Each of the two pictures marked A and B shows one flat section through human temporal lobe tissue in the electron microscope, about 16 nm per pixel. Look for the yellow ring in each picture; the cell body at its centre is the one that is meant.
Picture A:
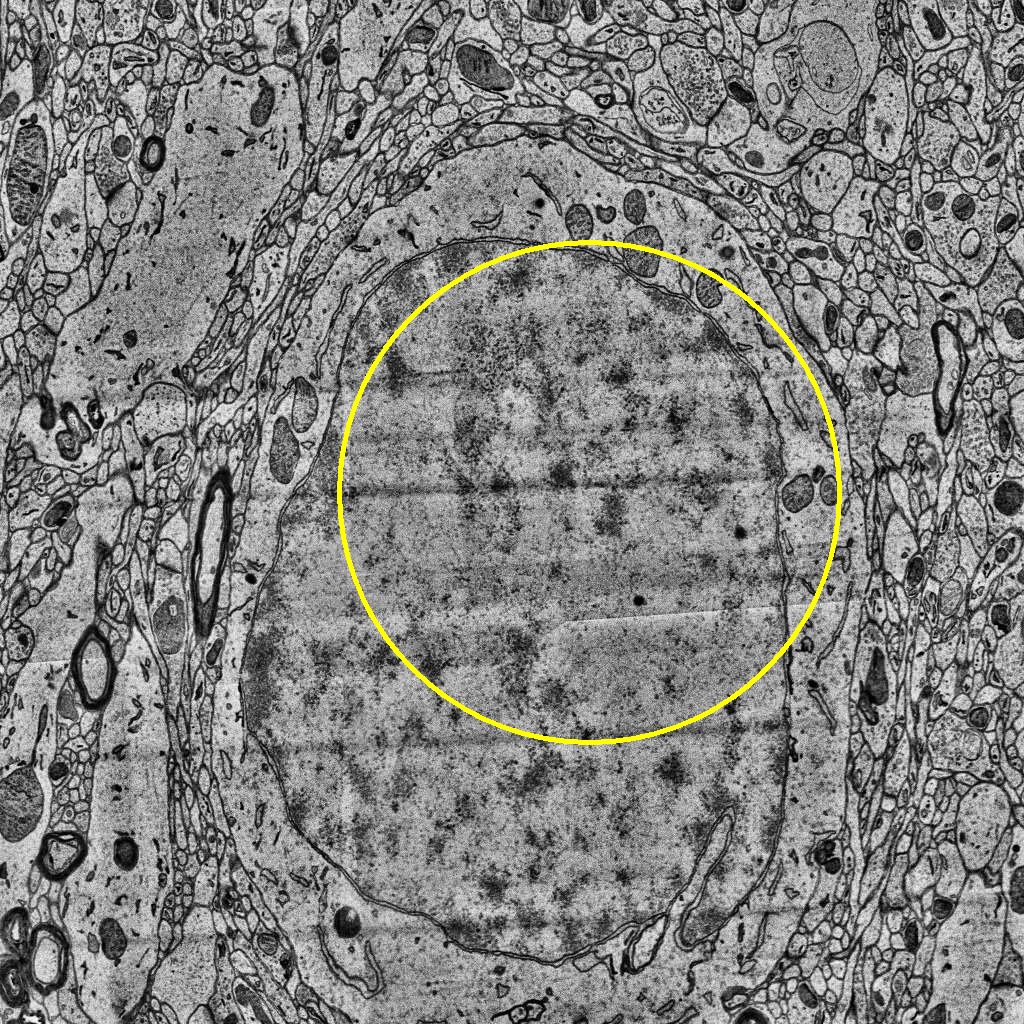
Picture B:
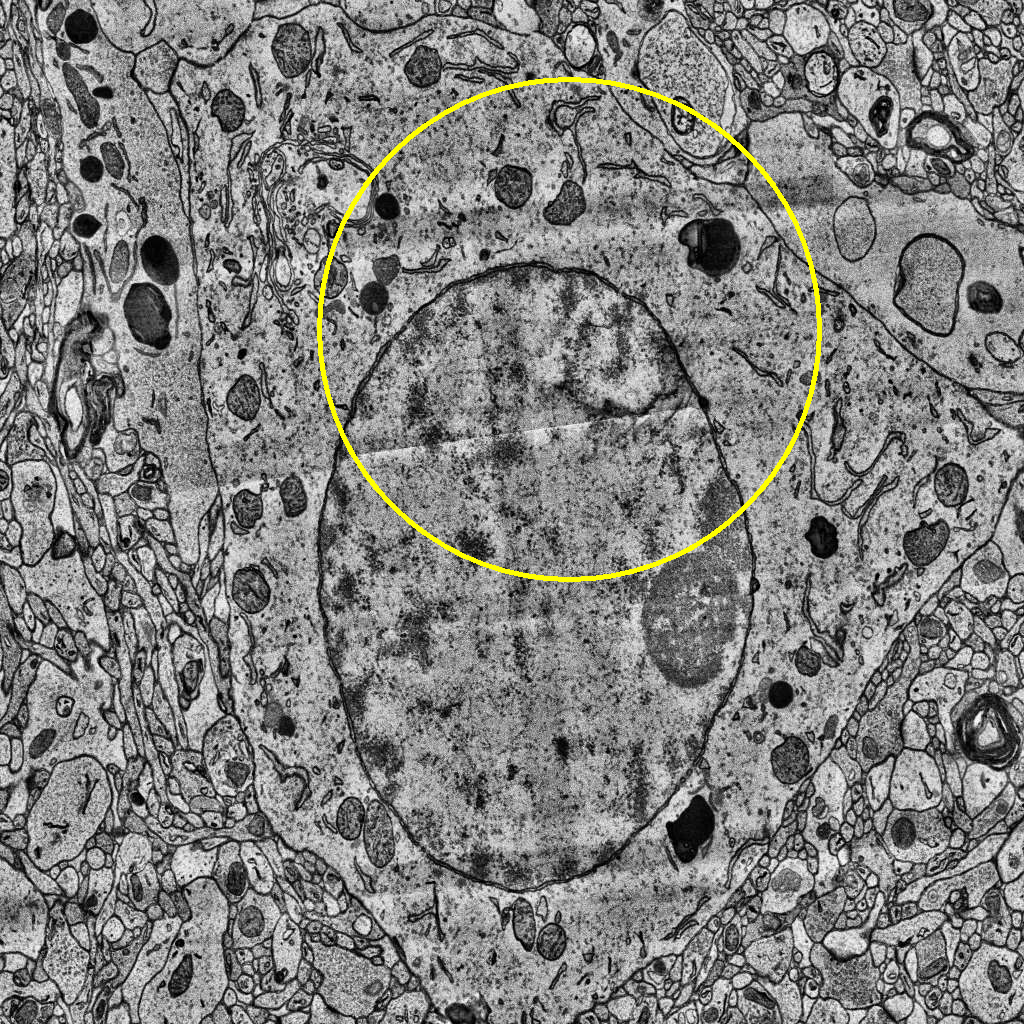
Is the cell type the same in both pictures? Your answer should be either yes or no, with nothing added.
no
